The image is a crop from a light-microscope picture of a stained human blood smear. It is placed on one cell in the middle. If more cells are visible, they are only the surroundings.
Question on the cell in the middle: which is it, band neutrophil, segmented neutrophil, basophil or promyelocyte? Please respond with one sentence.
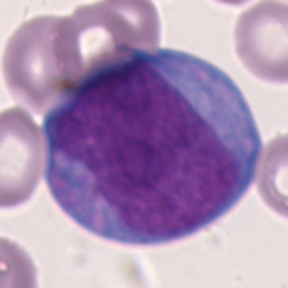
This particular crop is centered on a promyelocyte.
